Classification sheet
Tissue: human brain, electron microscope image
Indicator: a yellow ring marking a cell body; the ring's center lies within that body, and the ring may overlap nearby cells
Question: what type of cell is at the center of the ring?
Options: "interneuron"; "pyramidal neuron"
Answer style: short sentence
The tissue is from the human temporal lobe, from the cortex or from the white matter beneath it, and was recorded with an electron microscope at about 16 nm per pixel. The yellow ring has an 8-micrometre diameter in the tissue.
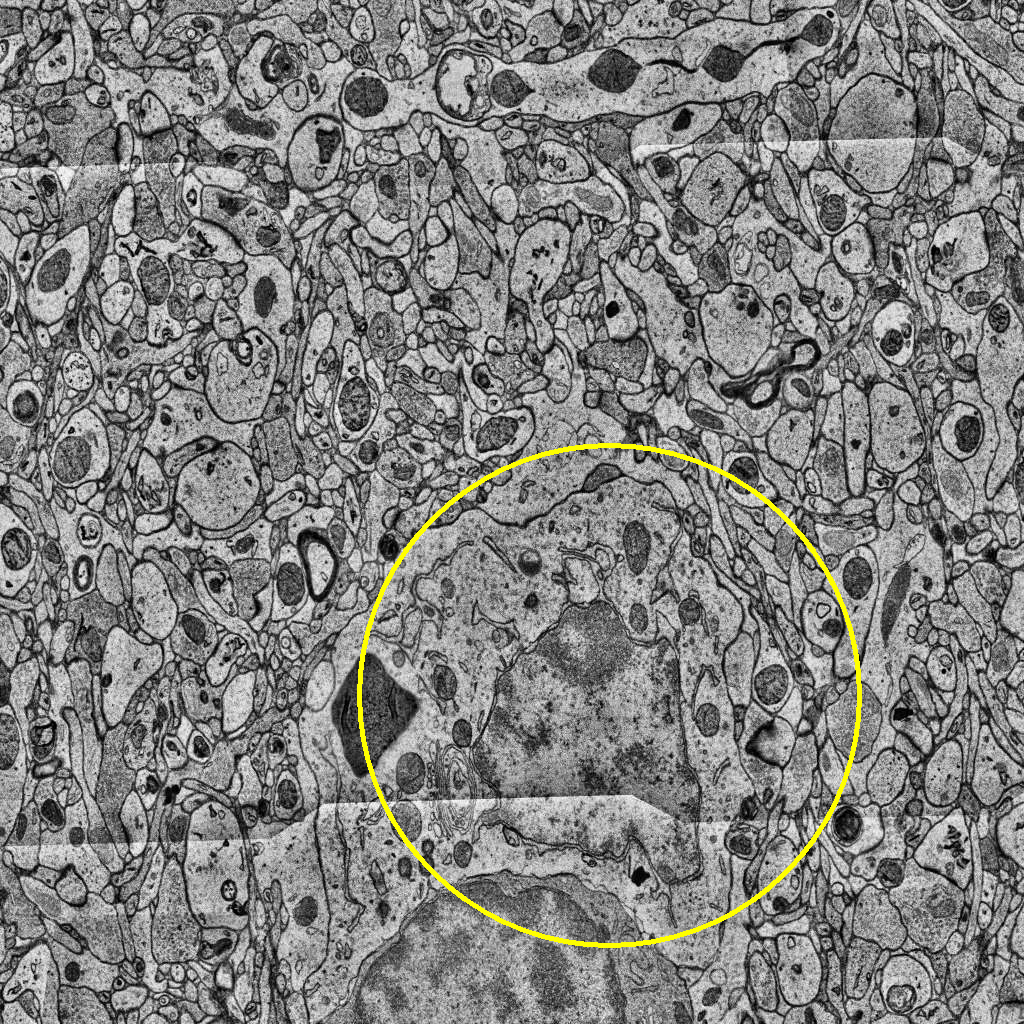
At the ring's center is an interneuron.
